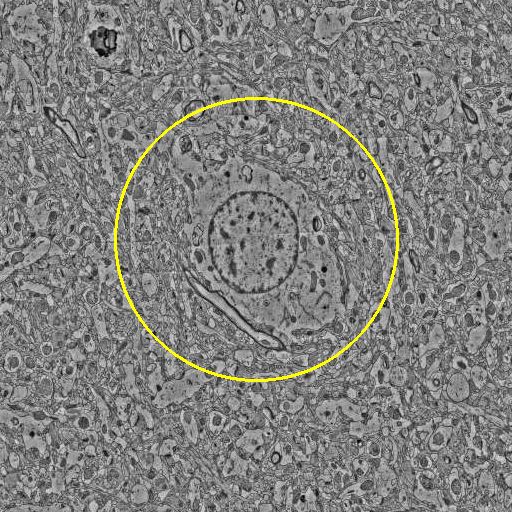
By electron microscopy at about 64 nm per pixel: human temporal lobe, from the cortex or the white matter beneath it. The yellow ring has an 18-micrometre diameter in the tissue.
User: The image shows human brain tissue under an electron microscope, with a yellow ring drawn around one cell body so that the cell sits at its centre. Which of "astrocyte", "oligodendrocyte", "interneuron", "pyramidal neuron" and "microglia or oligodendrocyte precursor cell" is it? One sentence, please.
At the centre of the ring sits an astrocyte.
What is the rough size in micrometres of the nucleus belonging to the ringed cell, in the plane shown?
Approximately 6 micrometres across in this plane.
